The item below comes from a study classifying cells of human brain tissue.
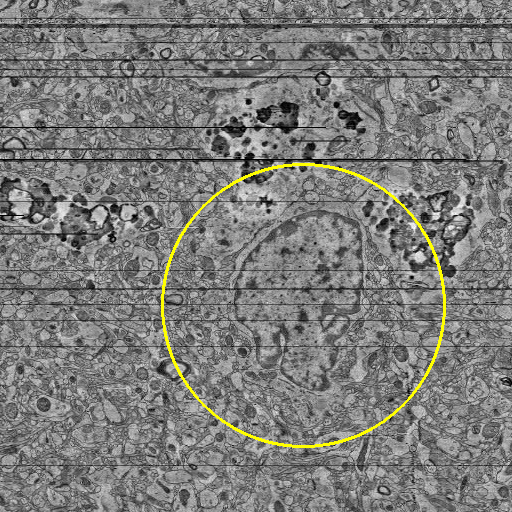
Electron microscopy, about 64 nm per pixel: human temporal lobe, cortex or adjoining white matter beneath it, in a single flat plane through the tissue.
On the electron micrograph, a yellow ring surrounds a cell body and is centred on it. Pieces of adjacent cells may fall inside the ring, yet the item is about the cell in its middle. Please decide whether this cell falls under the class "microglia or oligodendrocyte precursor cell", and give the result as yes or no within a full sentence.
Yes, the cell at the middle of the ring on the micrograph belongs in that class.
